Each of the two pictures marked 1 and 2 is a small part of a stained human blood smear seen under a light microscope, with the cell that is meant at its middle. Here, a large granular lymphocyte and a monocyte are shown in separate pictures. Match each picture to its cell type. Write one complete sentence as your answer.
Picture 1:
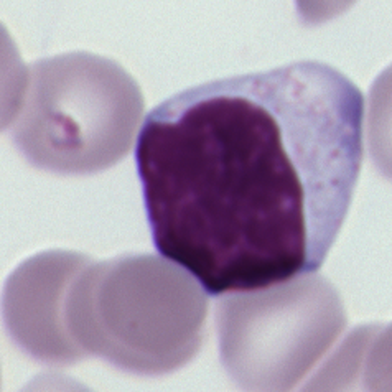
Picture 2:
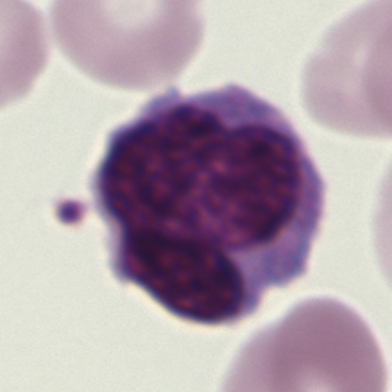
Picture 1 shows a large granular lymphocyte and picture 2 shows a monocyte.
